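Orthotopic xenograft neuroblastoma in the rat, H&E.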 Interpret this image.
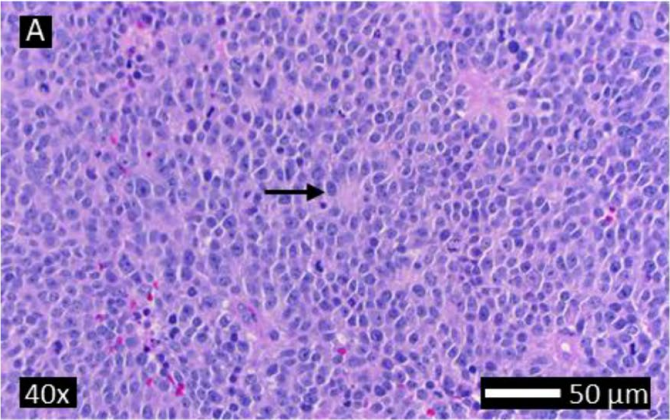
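This tumour consists of sheets of small blue round cells packed closely together. In places the nuclei form rings around a central pale pink fibrillary core, a Homer Wright rosette. Scattered red blood cells mark small vessels between the tumour cells.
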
